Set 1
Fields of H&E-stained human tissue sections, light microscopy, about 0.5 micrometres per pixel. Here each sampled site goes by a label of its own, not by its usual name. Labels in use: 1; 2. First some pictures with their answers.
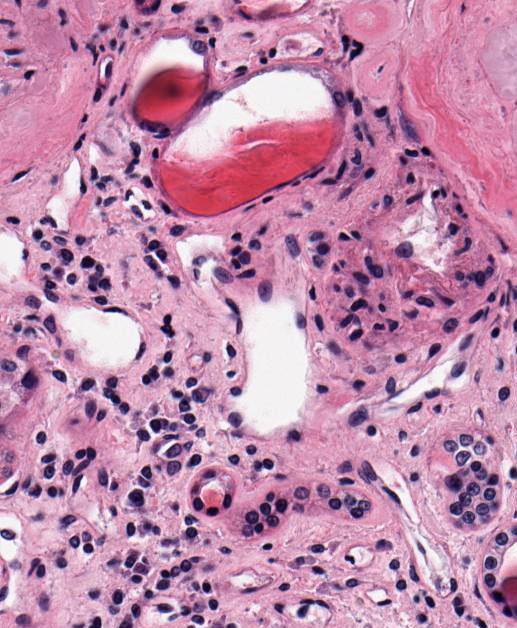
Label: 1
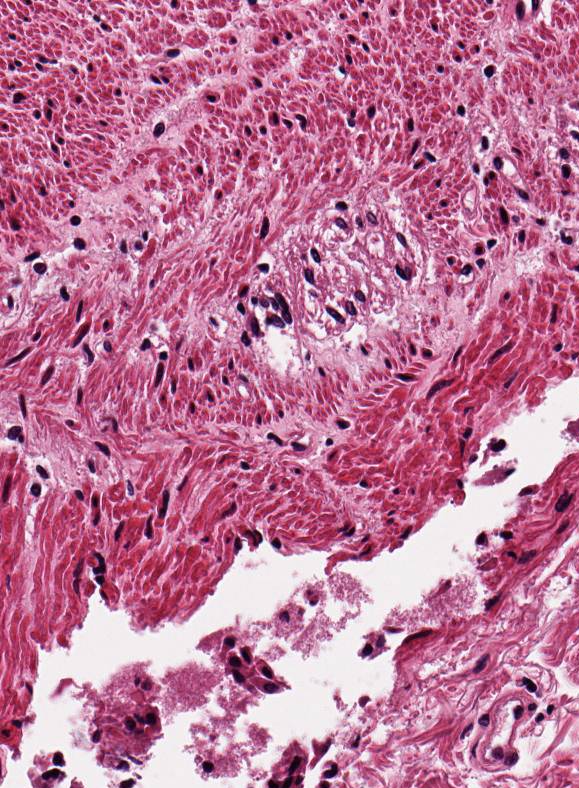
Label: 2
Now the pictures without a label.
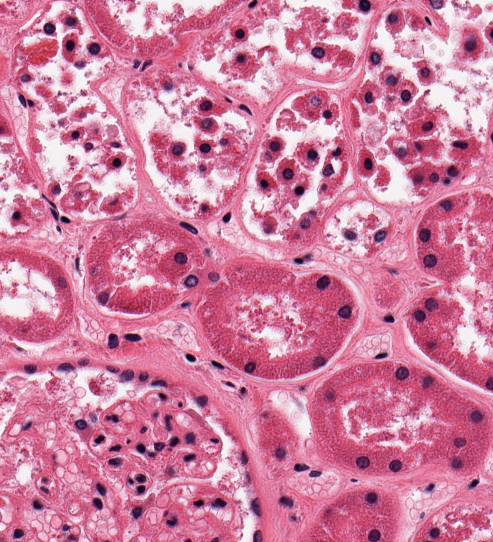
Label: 1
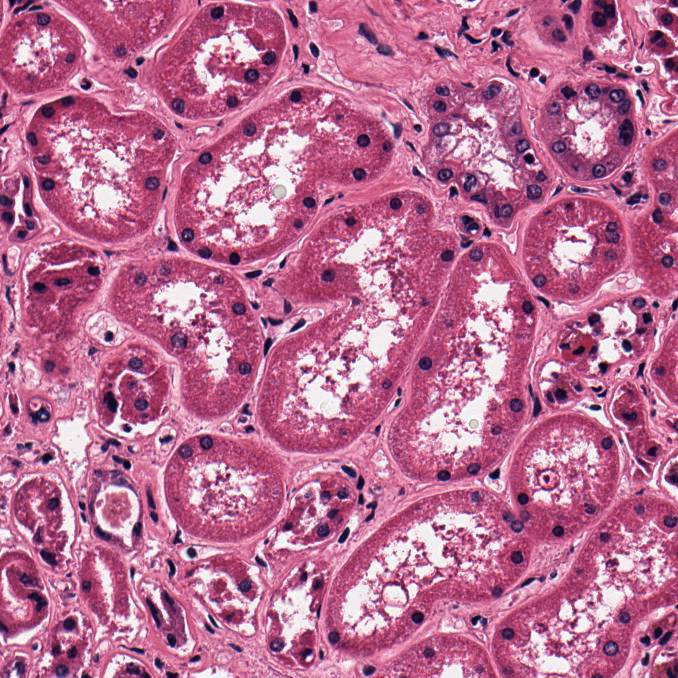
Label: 1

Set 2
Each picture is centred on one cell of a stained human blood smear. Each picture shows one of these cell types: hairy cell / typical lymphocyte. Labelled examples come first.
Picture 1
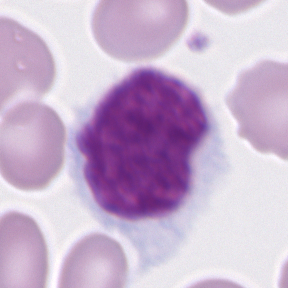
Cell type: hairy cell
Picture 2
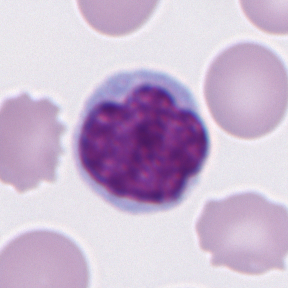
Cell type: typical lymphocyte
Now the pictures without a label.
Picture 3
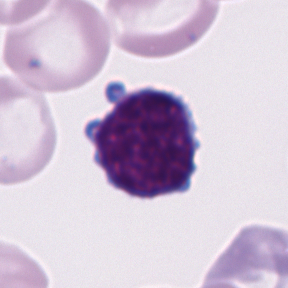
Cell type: typical lymphocyte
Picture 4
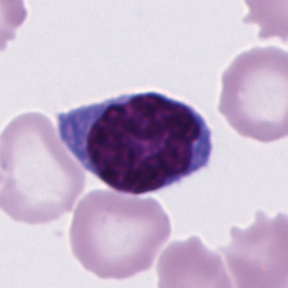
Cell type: typical lymphocyte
